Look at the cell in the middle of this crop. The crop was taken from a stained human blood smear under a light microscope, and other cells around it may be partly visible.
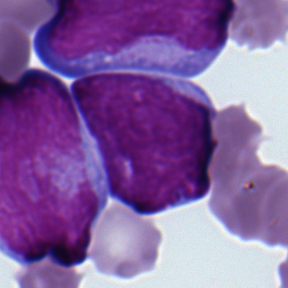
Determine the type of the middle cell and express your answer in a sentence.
At the center of the crop sits a blast.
